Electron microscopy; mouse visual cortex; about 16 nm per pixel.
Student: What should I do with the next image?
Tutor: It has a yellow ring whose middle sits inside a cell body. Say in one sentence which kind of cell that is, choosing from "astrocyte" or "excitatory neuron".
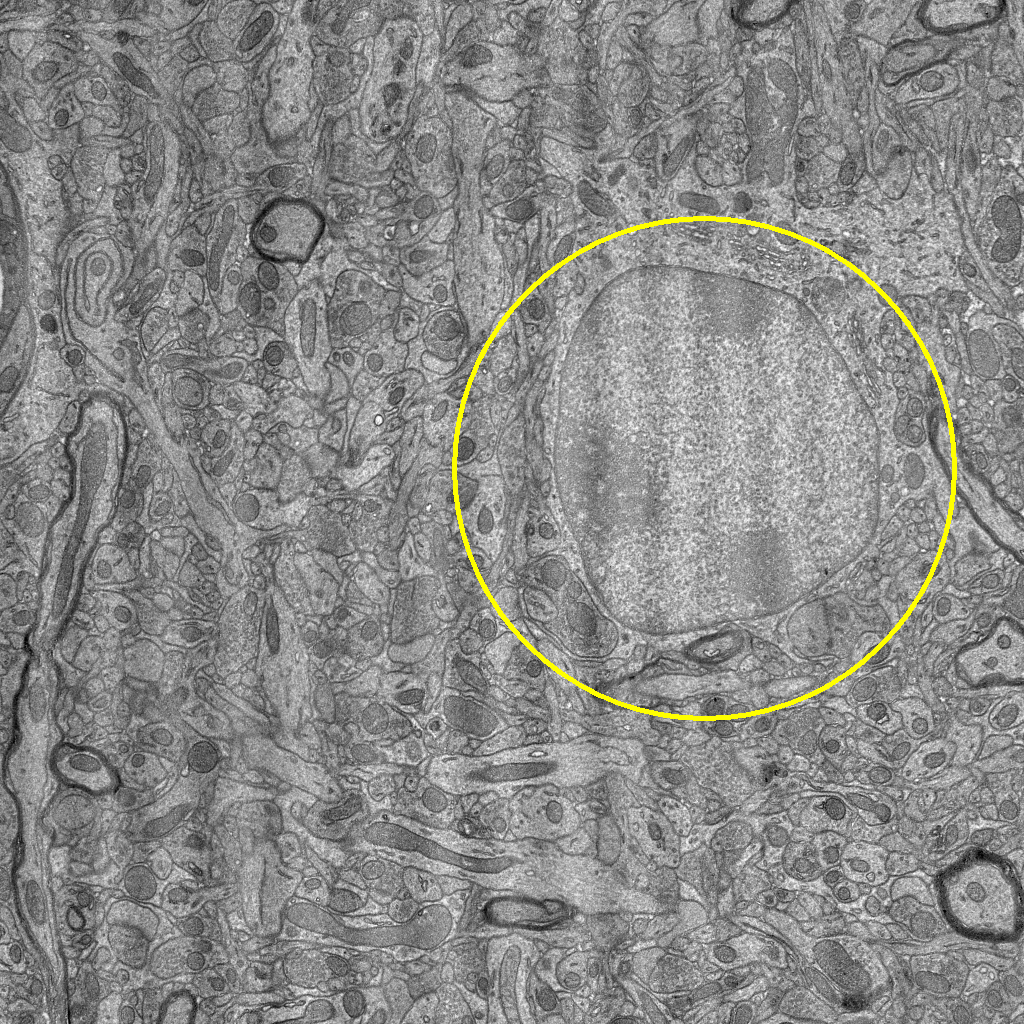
The ring's centre is occupied by an astrocyte.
